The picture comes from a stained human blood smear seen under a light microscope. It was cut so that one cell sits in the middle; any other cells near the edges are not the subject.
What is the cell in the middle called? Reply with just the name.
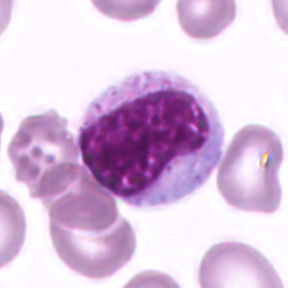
metamyelocyte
